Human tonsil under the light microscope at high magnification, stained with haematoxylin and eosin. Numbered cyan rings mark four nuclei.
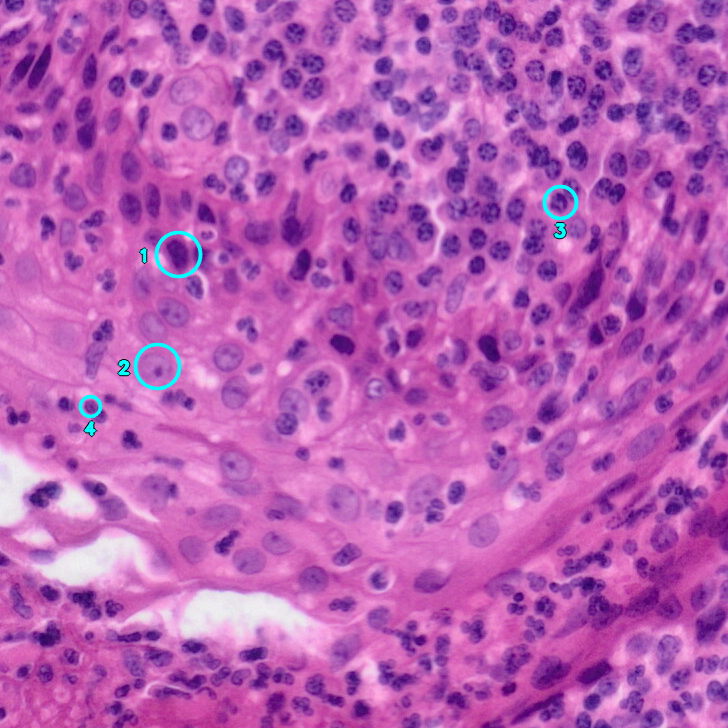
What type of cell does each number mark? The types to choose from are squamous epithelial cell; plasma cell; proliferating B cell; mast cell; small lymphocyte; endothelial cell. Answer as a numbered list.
1. squamous epithelial cell
2. squamous epithelial cell
3. plasma cell
4. squamous epithelial cell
